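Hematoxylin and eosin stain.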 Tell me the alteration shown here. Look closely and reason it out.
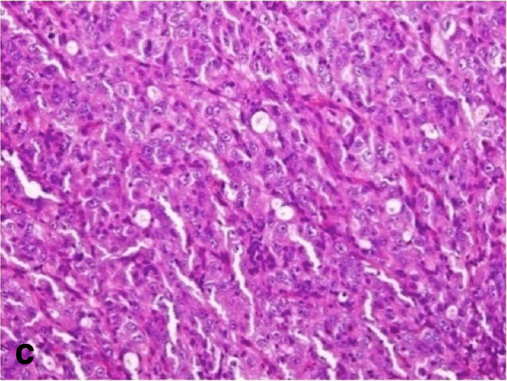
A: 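Poorly differentiated adenocarcinoma. Sheets and cords of atypical cells with pink cytoplasm. Small punched-out lumina among the cells. No well-formed glands.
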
